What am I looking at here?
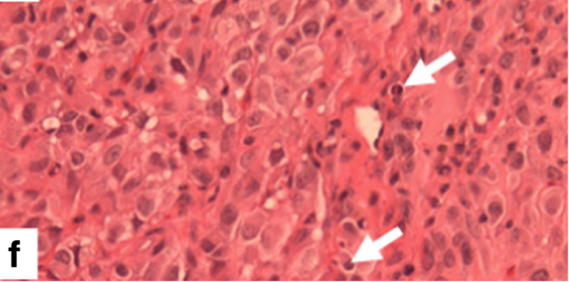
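Pleomorphic tumor cells with large oval nuclei, visible nucleoli and pale pink cytoplasm lie closely packed. A few cells are rounded with small, dark, condensed nuclei and pink cytoplasm and are set apart from their neighbours by a clear halo.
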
